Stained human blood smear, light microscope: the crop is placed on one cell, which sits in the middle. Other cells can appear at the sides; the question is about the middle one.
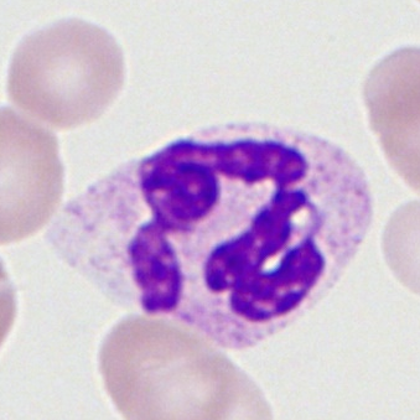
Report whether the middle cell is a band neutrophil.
no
